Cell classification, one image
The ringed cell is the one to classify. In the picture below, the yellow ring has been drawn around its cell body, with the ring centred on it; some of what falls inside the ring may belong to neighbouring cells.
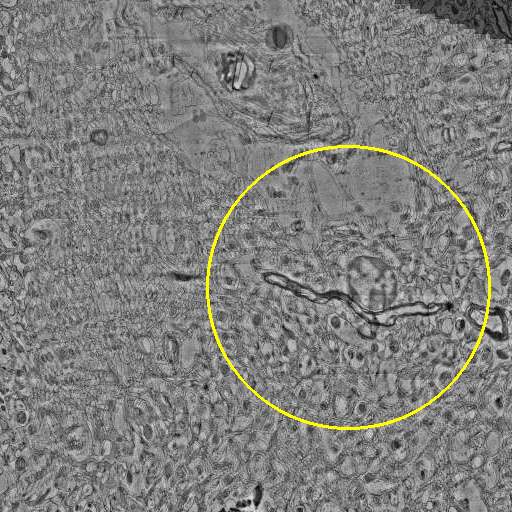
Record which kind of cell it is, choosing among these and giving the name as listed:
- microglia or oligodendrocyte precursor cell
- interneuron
microglia or oligodendrocyte precursor cell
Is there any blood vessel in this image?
No.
